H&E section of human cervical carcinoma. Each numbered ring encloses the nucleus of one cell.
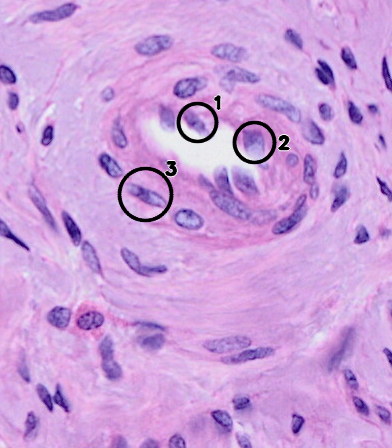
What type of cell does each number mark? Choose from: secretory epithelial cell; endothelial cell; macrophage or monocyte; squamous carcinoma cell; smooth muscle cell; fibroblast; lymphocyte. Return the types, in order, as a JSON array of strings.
["endothelial cell", "endothelial cell", "smooth muscle cell"]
